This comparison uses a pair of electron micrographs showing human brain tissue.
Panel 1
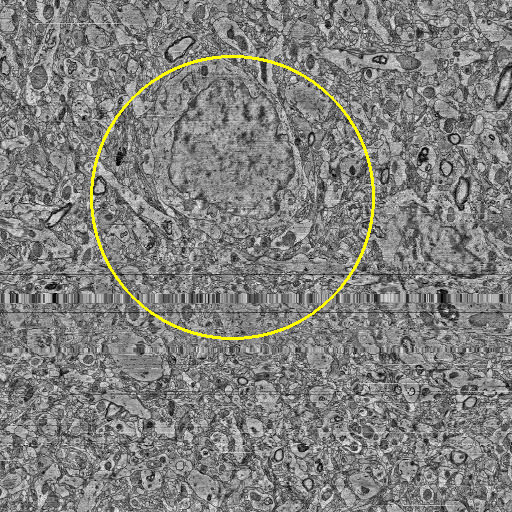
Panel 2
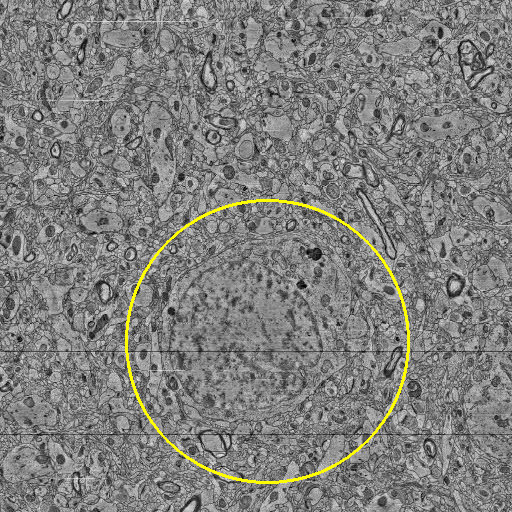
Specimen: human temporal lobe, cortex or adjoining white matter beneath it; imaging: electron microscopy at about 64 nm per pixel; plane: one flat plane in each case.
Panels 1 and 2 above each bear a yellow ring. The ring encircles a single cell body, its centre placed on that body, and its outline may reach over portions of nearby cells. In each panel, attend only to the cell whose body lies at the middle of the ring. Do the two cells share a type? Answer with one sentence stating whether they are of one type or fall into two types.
In Panel 1 and Panel 2, the cells at the centres of the rings are of one type.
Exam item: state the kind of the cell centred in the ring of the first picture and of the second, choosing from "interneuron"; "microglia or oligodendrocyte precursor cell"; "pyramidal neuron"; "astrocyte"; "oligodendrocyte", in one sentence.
Each of the two pictures has an interneuron at the ring centre.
